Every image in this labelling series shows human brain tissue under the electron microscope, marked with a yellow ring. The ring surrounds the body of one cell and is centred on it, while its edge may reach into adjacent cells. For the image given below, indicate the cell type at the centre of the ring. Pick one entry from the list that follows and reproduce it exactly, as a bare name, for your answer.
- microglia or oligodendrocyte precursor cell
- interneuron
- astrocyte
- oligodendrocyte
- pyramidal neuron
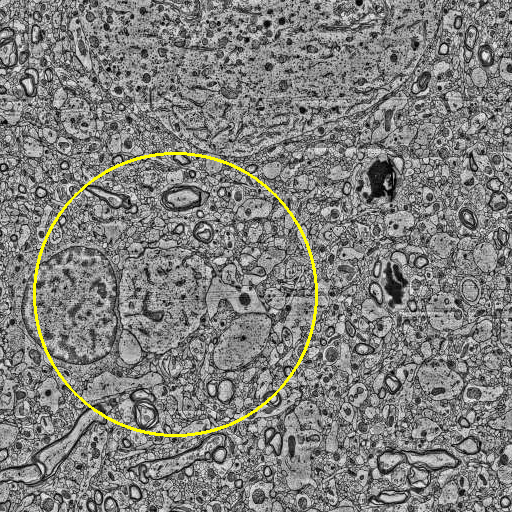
interneuron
